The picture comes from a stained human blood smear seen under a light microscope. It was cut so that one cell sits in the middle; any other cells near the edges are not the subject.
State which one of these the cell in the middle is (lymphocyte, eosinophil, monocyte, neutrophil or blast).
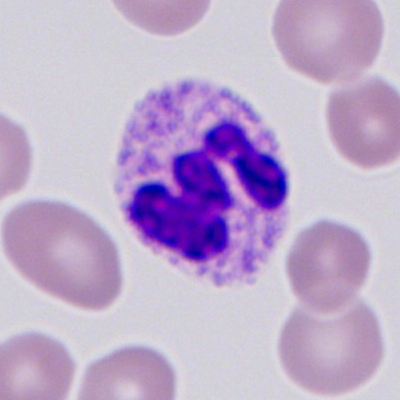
neutrophil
